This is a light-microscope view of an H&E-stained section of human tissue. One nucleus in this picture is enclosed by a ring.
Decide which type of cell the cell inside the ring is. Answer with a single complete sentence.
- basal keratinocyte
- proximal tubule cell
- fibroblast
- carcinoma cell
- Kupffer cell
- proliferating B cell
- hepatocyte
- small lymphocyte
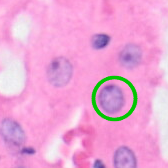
By cell type, the cell inside the ring is a proximal tubule cell.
